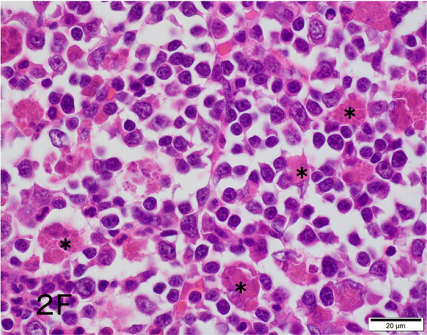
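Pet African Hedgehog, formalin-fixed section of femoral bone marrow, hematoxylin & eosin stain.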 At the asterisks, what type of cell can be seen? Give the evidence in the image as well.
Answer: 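Cells marked by asterisks are larger than the surrounding round cells. Their abundant cytoplasm holds pink-red engulfed material.
Conclusion: macrophages phagocytizing erythrocytes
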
